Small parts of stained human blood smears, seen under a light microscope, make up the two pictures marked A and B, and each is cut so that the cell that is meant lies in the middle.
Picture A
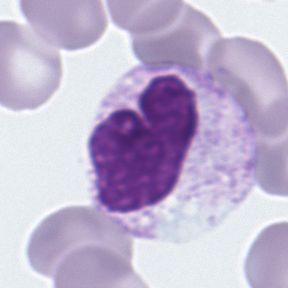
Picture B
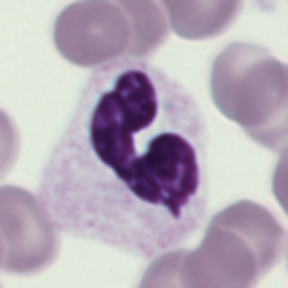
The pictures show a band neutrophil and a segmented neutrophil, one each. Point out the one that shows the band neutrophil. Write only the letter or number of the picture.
A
